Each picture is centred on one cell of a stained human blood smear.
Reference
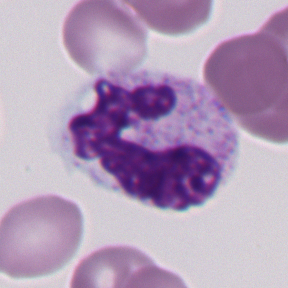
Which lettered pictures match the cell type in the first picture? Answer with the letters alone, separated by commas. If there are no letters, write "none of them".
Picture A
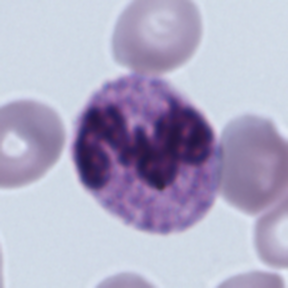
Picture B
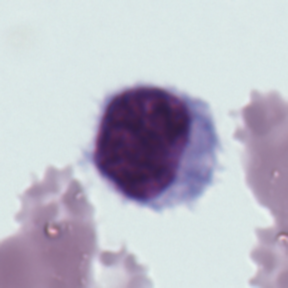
A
